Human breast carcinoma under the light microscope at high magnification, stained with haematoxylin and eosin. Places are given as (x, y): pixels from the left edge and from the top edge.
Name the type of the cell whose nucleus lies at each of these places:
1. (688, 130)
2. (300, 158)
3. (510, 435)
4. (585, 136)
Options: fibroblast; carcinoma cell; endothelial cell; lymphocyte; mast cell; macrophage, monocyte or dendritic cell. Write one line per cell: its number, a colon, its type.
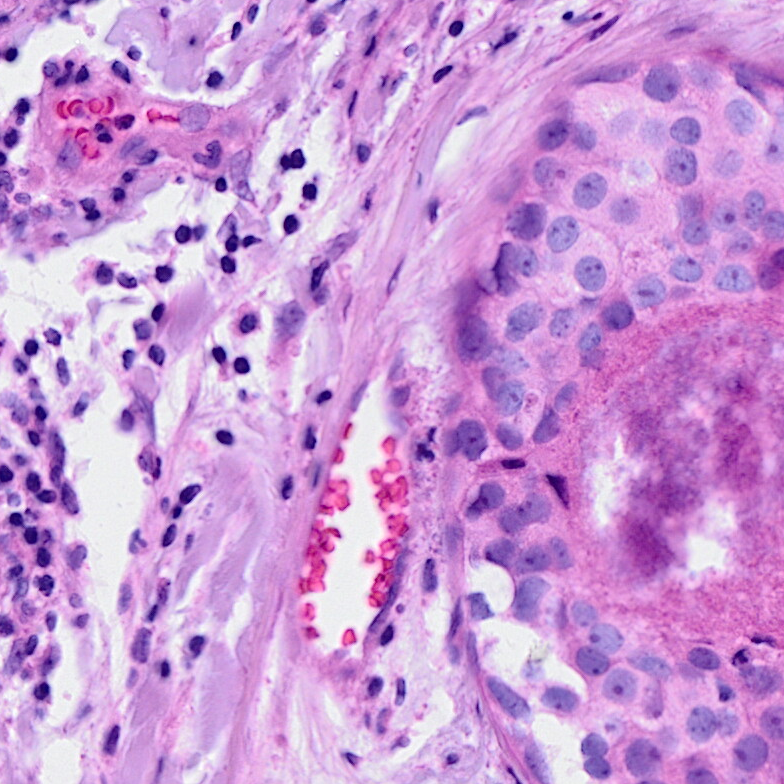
1: carcinoma cell
2: lymphocyte
3: carcinoma cell
4: carcinoma cell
